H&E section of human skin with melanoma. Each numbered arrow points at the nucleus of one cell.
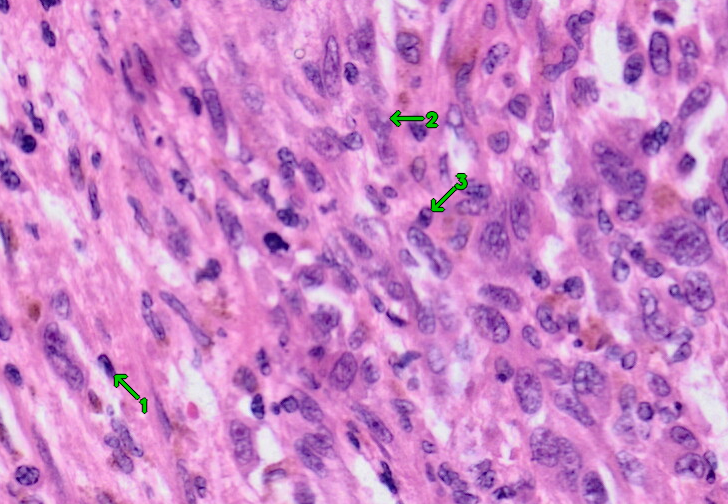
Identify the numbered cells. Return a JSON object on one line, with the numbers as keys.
{"1": "lymphocyte", "2": "melanoma cell", "3": "lymphocyte"}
